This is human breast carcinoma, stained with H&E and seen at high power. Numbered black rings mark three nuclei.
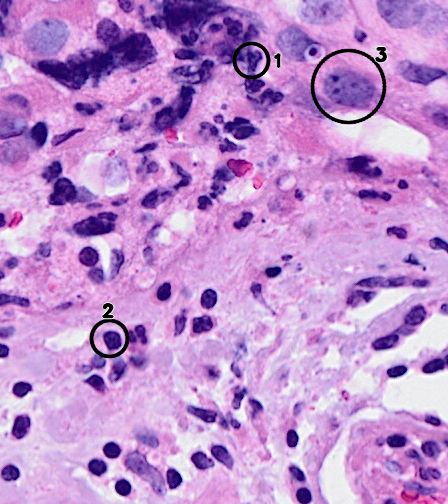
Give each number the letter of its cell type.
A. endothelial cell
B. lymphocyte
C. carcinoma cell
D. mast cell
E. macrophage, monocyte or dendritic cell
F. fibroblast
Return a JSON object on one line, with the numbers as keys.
{"1": "B", "2": "B", "3": "C"}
